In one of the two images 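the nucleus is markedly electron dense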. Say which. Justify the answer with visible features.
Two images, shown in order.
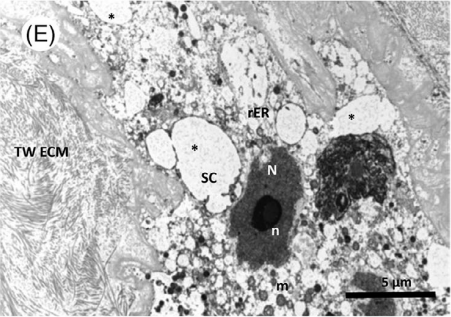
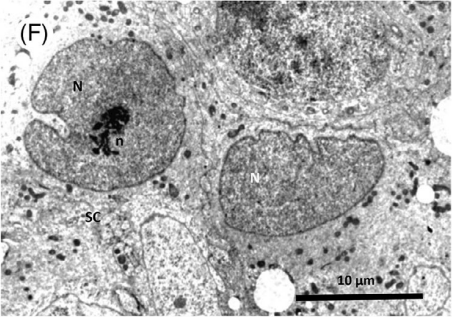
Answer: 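Second image: the nuclei are large and pale grey with finely dispersed chromatin. First image: the nucleus is small and uniformly dark, with a black nucleolus. First image: the cytoplasm is filled with large empty-looking vacuoles.
The first image.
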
